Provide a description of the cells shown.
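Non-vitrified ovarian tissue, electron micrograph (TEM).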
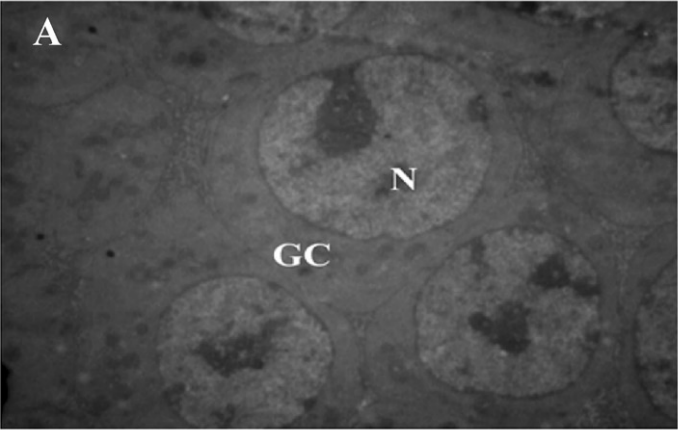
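Closely packed granulosa cells of a follicle, each with a large round to oval nucleus bounded by a smooth, continuous nuclear envelope. The nuclei hold finely granular chromatin with one or more dense, irregular clumps. The surrounding cytoplasm is moderately electron-dense and dotted with small dark round organelles.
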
